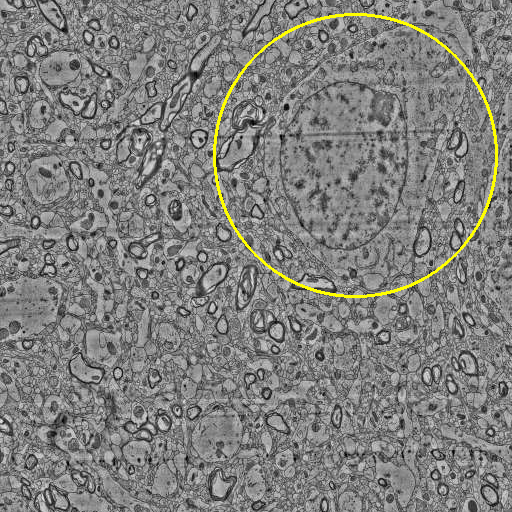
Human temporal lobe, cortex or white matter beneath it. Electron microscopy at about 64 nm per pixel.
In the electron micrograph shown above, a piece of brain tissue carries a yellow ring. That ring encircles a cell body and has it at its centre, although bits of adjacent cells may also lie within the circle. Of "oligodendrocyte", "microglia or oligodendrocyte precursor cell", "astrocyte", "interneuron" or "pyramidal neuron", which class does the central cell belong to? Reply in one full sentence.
The cell body at the centre of the yellow ring belongs to a pyramidal neuron.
